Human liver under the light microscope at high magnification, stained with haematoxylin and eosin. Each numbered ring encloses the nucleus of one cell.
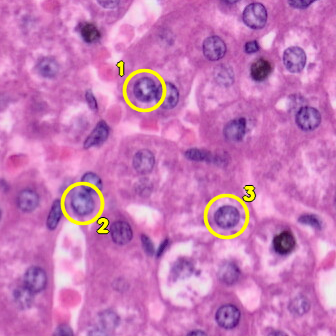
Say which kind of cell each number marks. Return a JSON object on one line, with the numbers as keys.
{"1": "hepatocyte", "2": "cholangiocyte", "3": "hepatocyte"}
